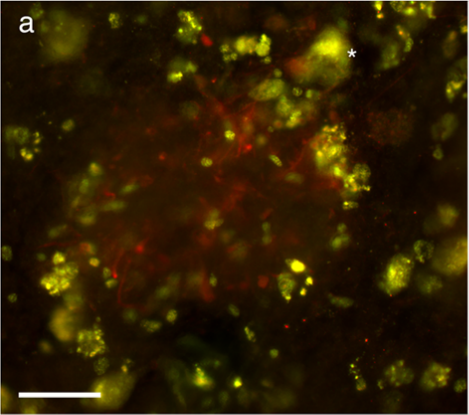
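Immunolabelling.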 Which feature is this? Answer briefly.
Neuritic plaque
